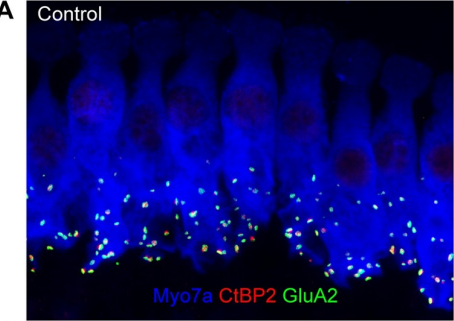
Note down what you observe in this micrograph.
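A row of inner hair cells seen in whole-mount, filled with blue. The cells stand side by side in a single row, each flask-shaped, with a narrower upper part and a rounded base. Faint darker round nuclei can be made out in the upper half of several cells. The puncta are confined to the lower part of the cells; the upper parts are free of them. The background below the cells is dark.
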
